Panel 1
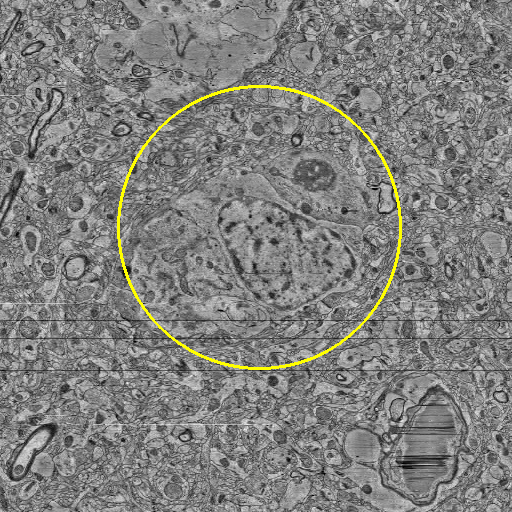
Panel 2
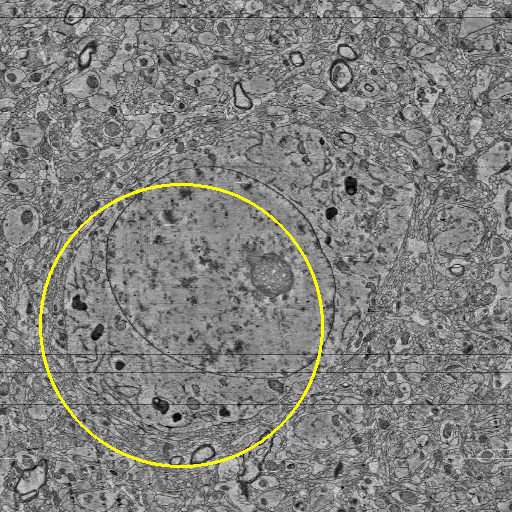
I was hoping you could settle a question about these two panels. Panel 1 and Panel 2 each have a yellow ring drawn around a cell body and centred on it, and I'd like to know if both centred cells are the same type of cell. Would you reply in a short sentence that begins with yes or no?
No, they are two types of cell.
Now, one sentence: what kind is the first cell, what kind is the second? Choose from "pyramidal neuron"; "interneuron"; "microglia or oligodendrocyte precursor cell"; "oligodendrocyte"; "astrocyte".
The first picture has a microglial cell or oligodendrocyte precursor cell at its ring centre, and the second has a pyramidal neuron.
